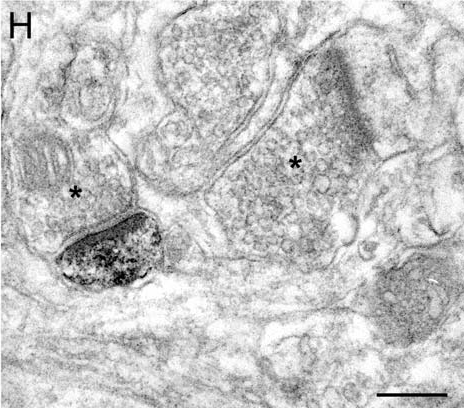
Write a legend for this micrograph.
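Two presynaptic boutons are filled with many small, round, clear vesicles, and one contains mitochondria. At lower left, a small postsynaptic profile is heavily filled with dark granular reaction product and lies against one of the boutons. Nearby, another synaptic contact with a dense postsynaptic thickening lacks the dark precipitate. Thin membranes of surrounding processes separate the profiles.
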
